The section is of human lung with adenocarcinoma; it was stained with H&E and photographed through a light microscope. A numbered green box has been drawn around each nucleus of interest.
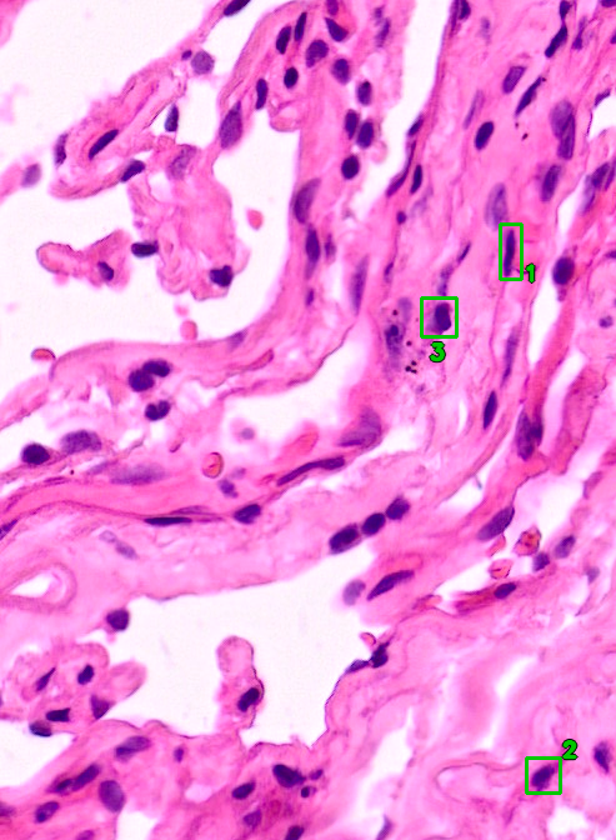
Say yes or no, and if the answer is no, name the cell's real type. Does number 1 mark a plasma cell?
No, it is an endothelial cell.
